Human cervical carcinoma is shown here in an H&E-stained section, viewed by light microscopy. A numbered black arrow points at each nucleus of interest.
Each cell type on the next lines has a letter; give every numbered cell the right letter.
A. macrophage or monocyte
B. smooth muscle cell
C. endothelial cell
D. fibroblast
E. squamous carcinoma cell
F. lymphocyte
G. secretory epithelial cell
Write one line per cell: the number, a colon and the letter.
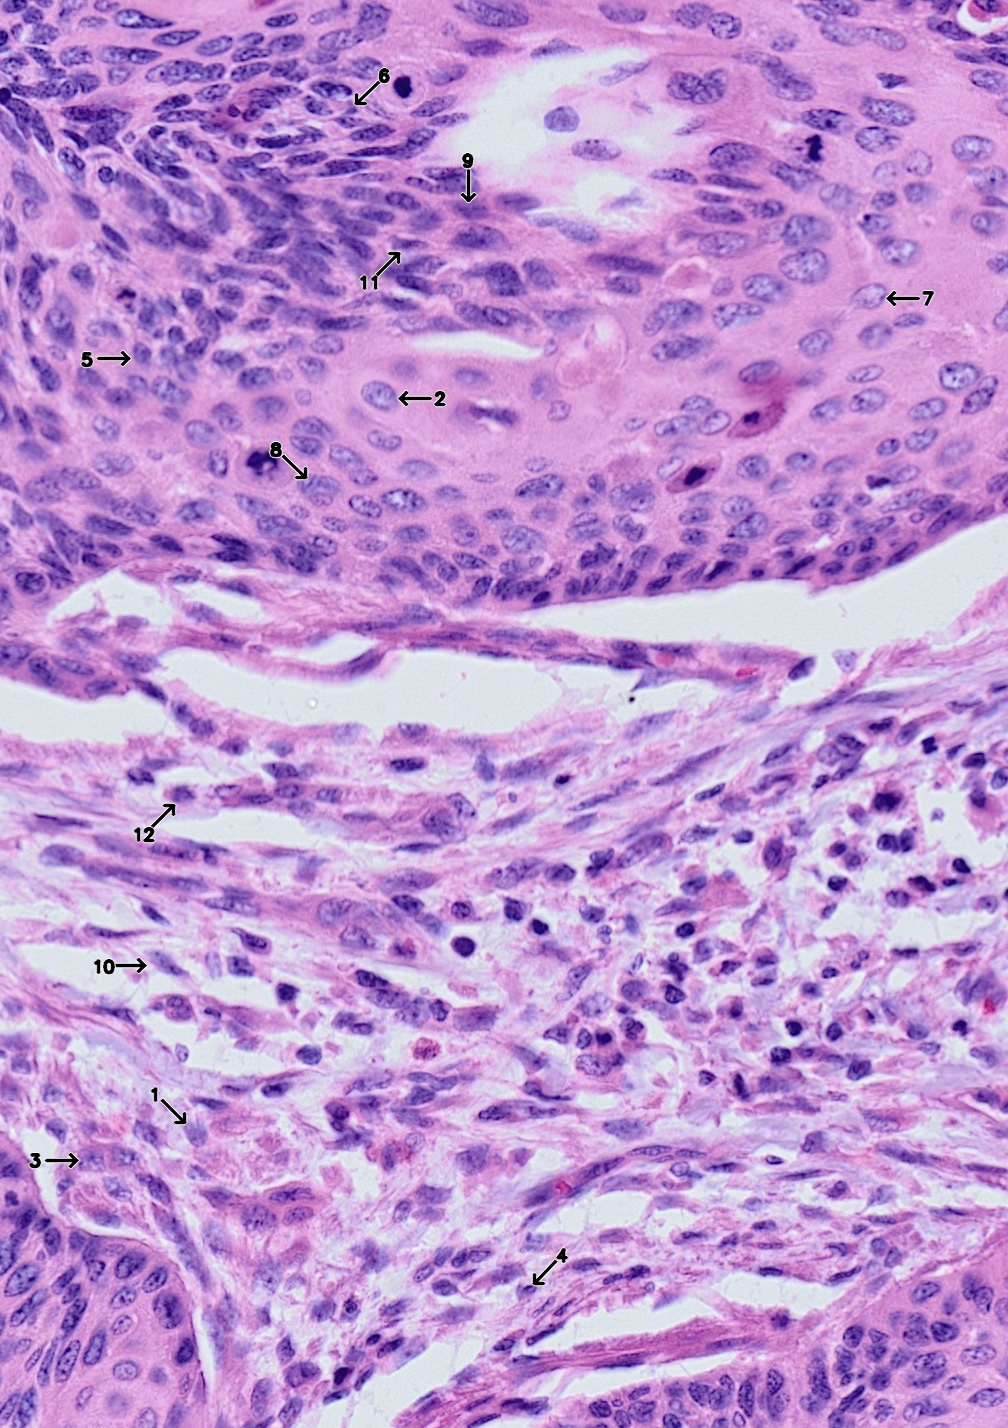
1: D
2: E
3: C
4: D
5: E
6: E
7: E
8: E
9: E
10: D
11: E
12: A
